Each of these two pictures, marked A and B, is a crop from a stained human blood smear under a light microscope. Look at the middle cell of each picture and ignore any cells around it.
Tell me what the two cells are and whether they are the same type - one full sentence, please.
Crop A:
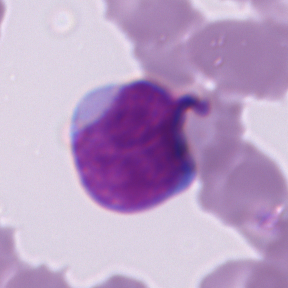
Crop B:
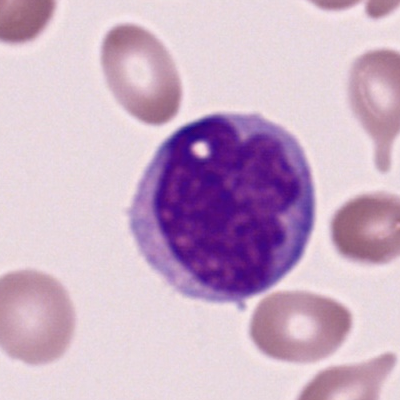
No, crop A carries a blast and crop B carries a monocyte.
